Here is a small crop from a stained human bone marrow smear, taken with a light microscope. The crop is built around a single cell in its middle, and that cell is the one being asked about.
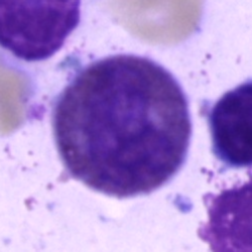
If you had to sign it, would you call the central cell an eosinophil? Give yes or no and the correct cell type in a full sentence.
Yes, the cell placed centrally within the crop is an eosinophil.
